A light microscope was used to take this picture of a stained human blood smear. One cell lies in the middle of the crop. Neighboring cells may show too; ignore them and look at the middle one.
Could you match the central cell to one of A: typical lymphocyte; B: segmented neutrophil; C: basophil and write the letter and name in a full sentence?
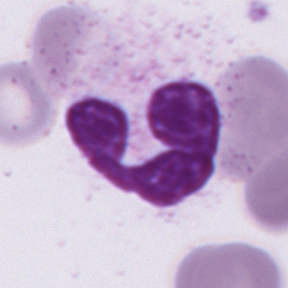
The cell centered in the crop is a segmented neutrophil, making option B the correct pick.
